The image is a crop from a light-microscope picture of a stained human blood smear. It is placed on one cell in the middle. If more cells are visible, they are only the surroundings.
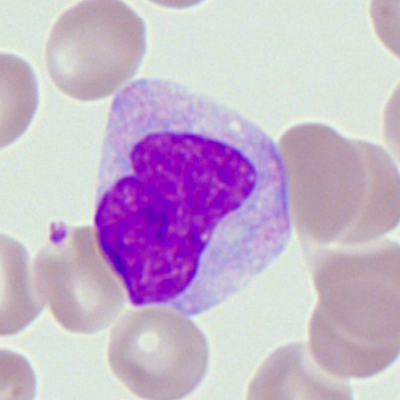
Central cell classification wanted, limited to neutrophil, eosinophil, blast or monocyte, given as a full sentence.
The crop's centre is taken up by a monocyte.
